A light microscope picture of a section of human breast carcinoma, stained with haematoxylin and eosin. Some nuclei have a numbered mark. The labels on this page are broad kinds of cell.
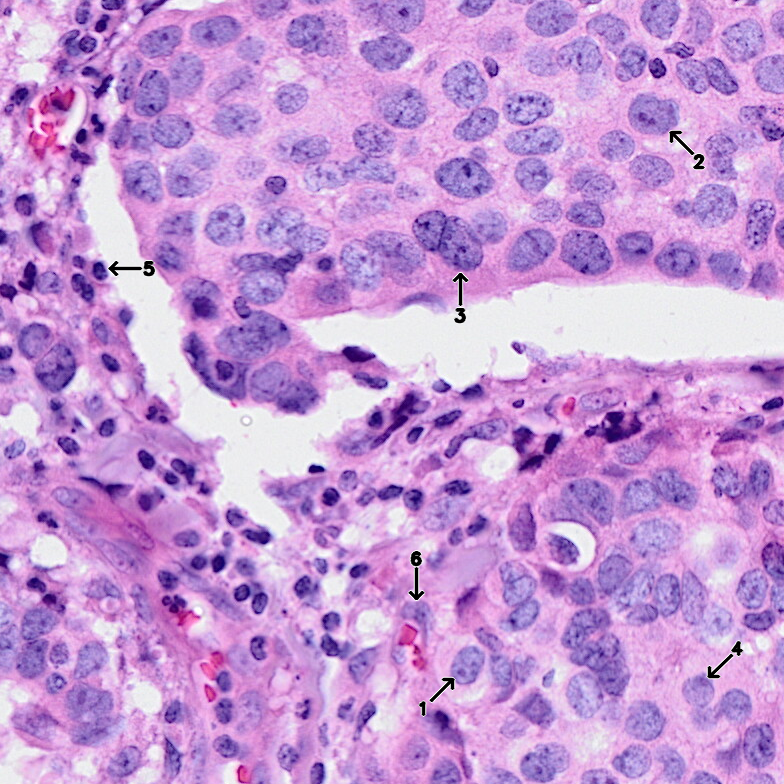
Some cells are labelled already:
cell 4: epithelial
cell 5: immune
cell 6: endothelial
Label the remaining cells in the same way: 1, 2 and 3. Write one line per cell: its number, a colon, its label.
1: epithelial
2: epithelial
3: epithelial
